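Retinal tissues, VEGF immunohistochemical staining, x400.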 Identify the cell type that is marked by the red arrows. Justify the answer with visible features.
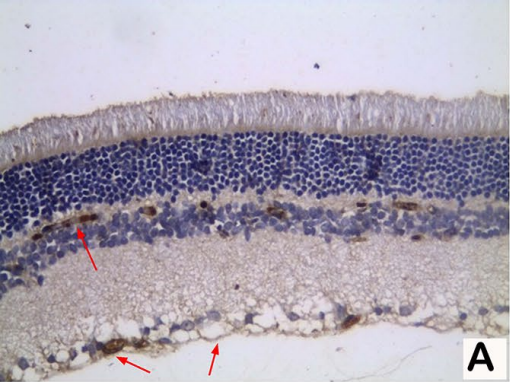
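Endothelial cells. These lie in the inner nuclear layer and along the inner surface of the retina.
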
